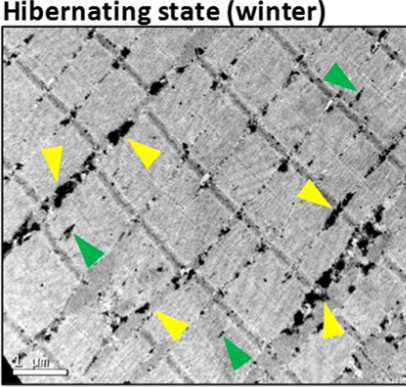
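This transmission electron micrograph shows skeletal muscle fibre cut longitudinally, with myofibrils arranged in parallel and a regular pattern of cross-striations. Dark transverse lines recur at even intervals, dividing the myofibrils into a lattice of sarcomeres, with paler and greyer bands between them. Scattered through the field are clusters of very electron-dense, black particles, the glycogen granules. Most of them lie in the spaces between neighbouring myofibrils, forming irregular clumps along the lines of the lattice; a few smaller deposits lie within the myofibrils themselves. The contractile pattern is otherwise orderly and the fibres are closely packed.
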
